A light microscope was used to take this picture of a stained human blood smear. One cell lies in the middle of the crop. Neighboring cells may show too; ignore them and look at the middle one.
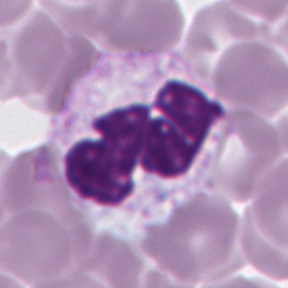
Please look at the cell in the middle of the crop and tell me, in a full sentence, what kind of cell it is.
The centered cell in this crop is a segmented neutrophil.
